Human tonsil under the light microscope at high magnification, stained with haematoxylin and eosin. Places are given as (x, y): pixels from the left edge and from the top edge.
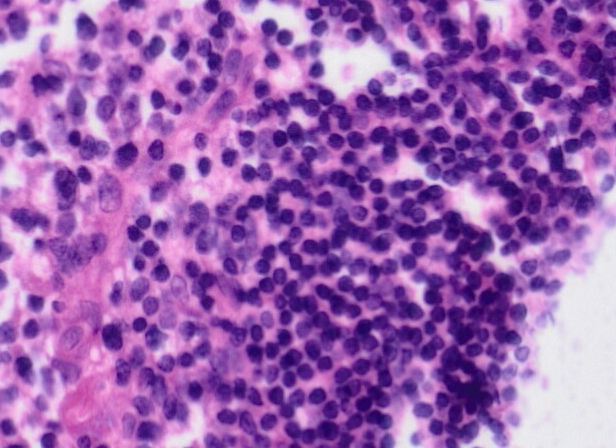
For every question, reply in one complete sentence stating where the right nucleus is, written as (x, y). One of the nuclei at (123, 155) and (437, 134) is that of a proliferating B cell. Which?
Of the two nuclei, that at (123, 155) is the nucleus of a proliferating B cell.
